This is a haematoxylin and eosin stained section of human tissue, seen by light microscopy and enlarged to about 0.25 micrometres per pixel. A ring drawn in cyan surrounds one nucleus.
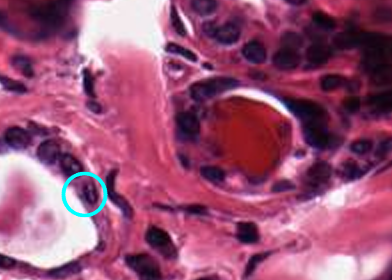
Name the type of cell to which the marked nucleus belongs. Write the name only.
thyroid follicular cell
